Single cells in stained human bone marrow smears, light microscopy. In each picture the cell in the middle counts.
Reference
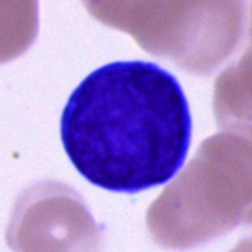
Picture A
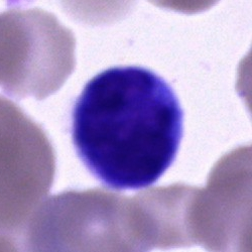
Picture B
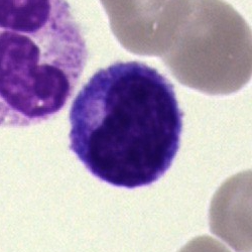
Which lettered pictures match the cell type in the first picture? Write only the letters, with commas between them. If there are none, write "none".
none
